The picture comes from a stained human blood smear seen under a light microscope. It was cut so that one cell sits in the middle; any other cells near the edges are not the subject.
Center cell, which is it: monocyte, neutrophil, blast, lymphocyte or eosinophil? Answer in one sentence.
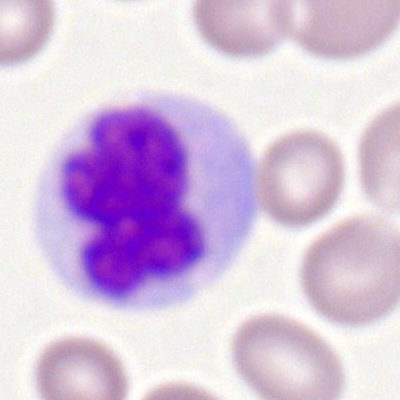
In this crop, the cell at the very middle is a monocyte.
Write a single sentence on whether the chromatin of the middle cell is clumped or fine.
Answer: the chromatin in this nucleus is coarsely clumped.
